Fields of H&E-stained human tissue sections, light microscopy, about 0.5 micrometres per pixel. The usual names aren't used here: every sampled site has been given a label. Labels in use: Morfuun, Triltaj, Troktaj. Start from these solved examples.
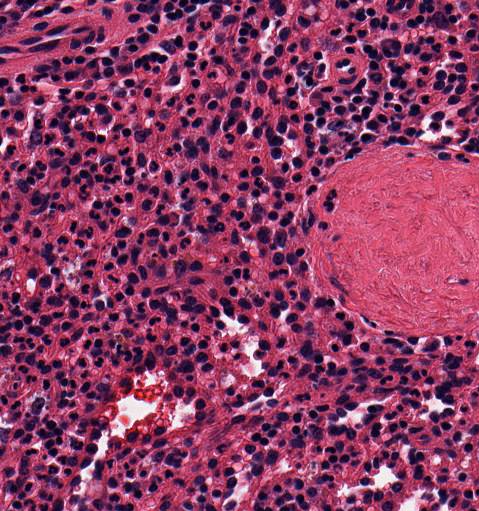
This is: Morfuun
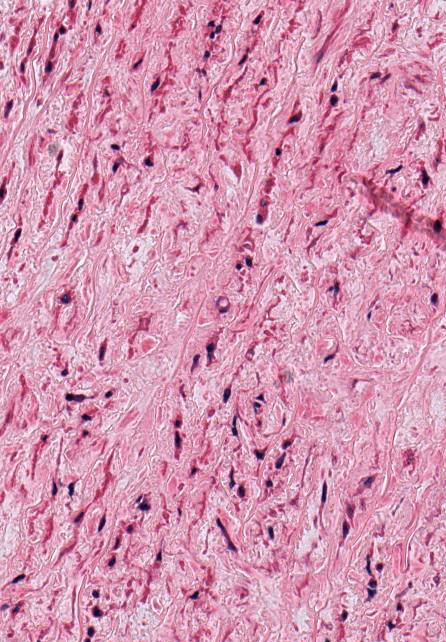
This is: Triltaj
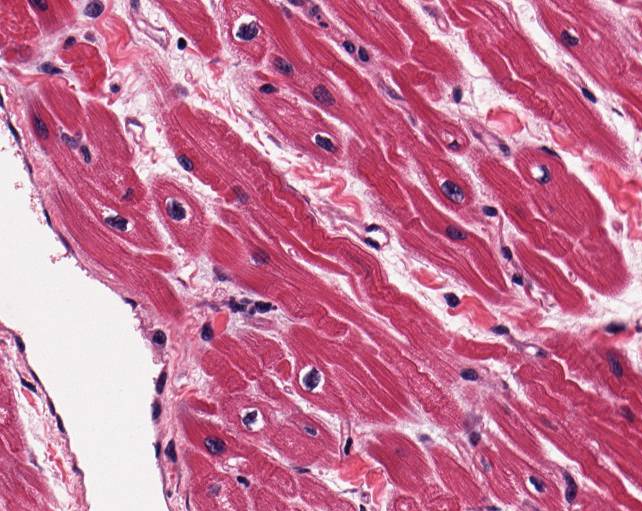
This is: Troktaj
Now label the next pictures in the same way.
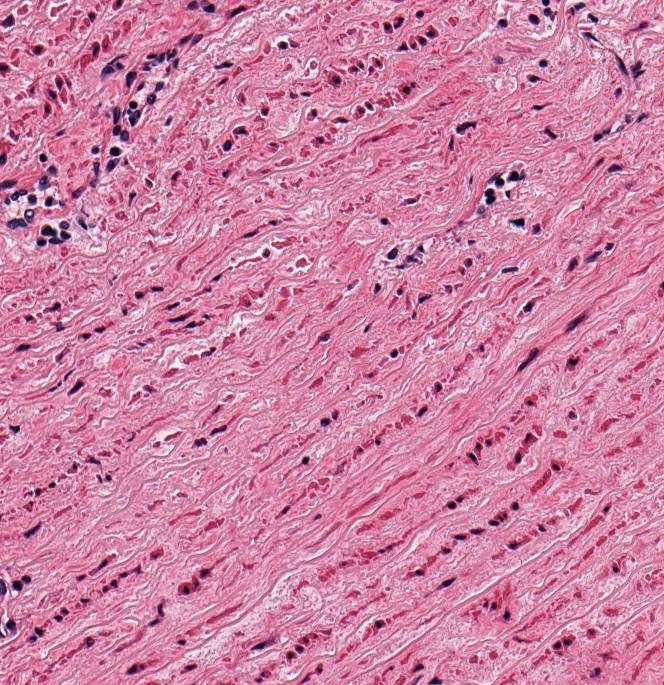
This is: Triltaj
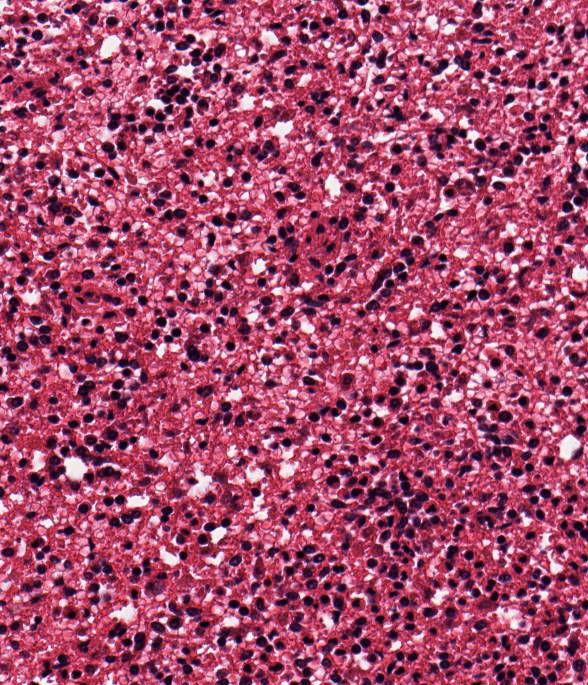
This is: Morfuun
